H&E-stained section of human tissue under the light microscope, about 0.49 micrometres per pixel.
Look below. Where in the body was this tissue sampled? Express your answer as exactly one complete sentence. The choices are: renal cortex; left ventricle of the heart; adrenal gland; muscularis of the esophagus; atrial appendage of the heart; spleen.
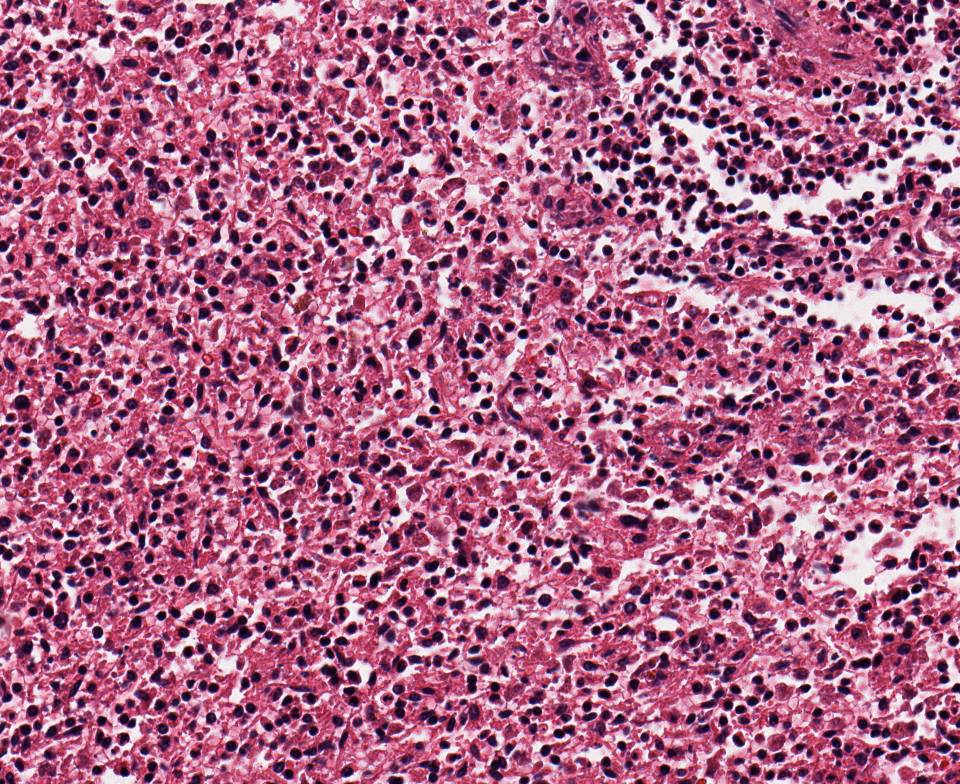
By sampling the spleen, this tissue was obtained.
